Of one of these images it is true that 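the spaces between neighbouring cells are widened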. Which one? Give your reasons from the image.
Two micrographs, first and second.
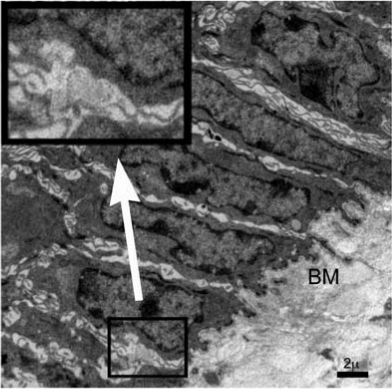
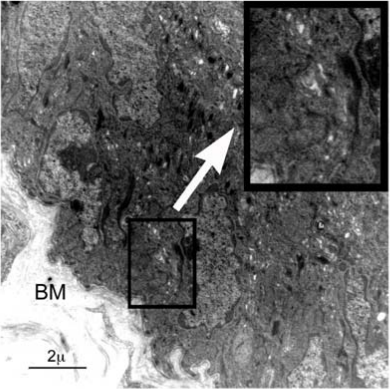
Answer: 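First image: wide pale gaps outline the cells along their borders. Second image: cells are closely apposed with only thin dark junction lines between them.
Conclusion: the first image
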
